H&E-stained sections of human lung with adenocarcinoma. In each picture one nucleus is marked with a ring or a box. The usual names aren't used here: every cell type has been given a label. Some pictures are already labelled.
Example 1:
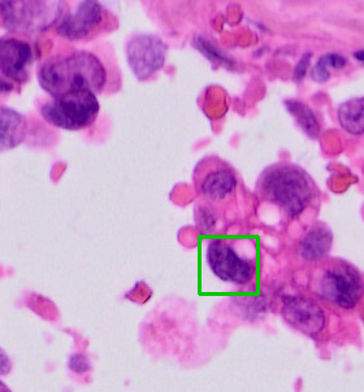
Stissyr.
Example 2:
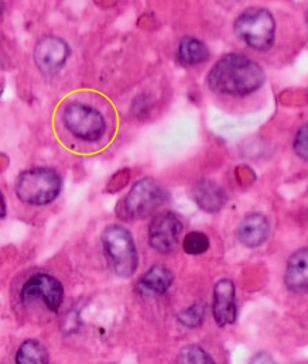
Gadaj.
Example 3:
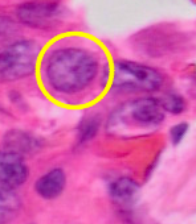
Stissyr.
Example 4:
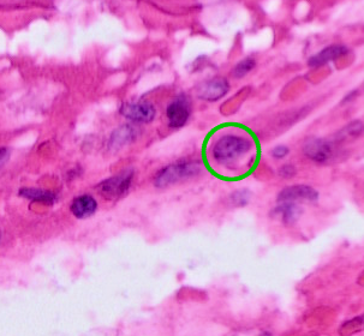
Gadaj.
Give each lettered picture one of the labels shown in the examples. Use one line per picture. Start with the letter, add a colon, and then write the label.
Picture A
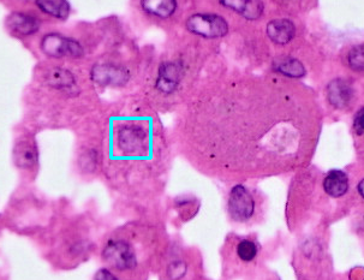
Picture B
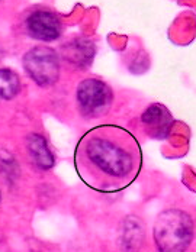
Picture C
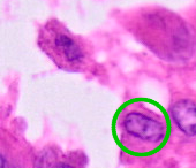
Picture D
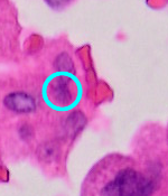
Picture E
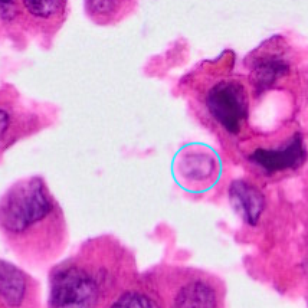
A: Gadaj.
B: Gadaj.
C: Gadaj.
D: Gadaj.
E: Gadaj.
